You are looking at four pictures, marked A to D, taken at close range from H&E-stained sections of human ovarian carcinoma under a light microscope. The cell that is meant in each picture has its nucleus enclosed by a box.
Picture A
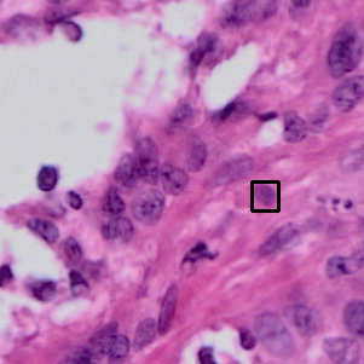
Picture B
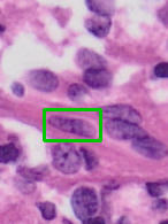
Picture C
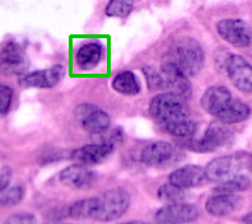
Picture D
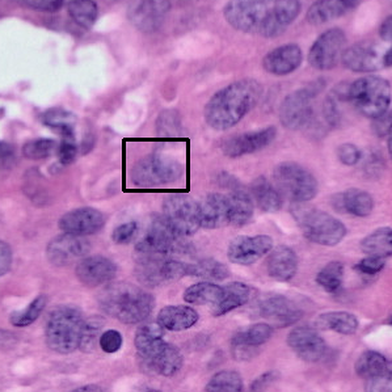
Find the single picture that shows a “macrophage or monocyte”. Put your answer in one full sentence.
Picture C is the one that shows the “macrophage or monocyte”.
